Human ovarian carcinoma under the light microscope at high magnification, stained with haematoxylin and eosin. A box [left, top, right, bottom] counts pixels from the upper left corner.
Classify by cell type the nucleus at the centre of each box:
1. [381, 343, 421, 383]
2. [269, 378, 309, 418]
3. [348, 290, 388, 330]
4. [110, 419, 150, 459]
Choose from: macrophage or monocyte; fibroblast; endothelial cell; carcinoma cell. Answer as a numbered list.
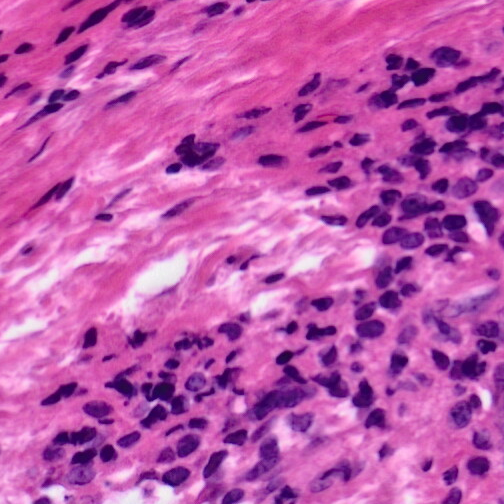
1. macrophage or monocyte
2. carcinoma cell
3. carcinoma cell
4. macrophage or monocyte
